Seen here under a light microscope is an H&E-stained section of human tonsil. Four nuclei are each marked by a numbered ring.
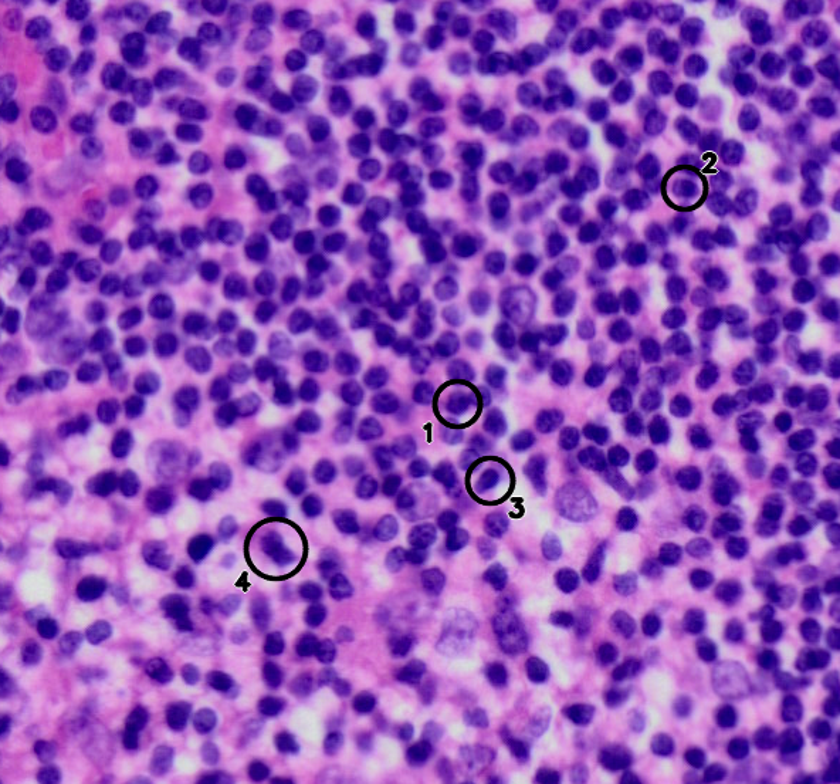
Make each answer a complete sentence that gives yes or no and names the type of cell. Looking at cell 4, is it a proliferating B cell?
Yes, the cell that bears the number 4 is a proliferating B cell.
